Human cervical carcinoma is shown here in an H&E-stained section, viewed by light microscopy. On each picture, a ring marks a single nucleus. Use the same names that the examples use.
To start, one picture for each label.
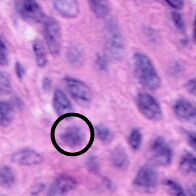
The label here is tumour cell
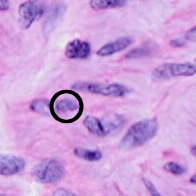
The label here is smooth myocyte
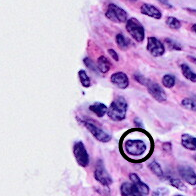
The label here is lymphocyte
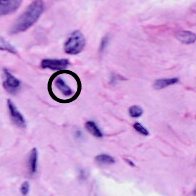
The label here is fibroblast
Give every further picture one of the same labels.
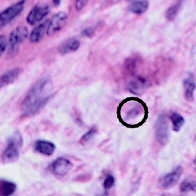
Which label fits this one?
fibroblast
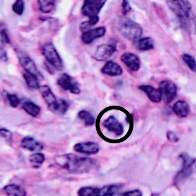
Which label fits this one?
lymphocyte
